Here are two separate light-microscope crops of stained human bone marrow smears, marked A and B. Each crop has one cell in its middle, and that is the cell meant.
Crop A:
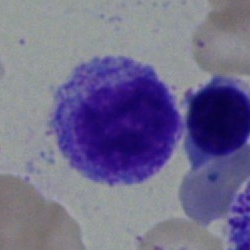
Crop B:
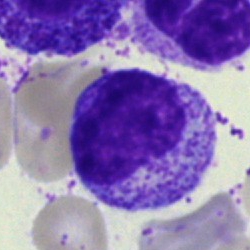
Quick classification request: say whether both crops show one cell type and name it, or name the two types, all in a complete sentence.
Yes, both crops have myelocytes as their central cells.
